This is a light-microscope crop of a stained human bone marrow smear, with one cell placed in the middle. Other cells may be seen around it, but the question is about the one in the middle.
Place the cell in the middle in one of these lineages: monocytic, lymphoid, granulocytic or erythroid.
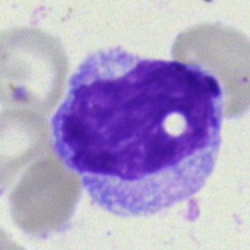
monocytic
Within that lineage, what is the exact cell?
monocyte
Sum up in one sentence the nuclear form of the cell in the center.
One compact mass makes up the whole nucleus, round, oval or kidney-shaped.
